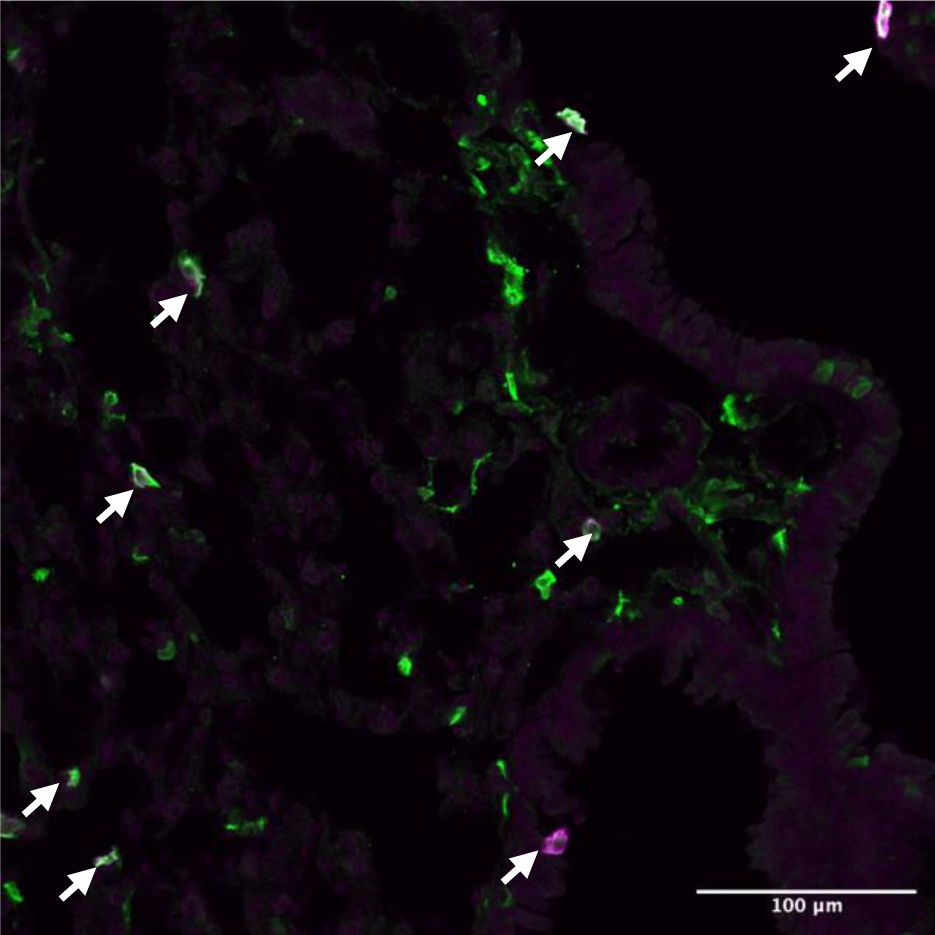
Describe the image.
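Lung tissue with thin alveolar walls forming a lacy network around dark airspaces, and at the right a folded continuous epithelial lining of a larger airway that glows faint magenta. Numerous irregular, elongated or stellate green cells lie along the alveolar walls and within the septa, some in small clusters. A few rounded cells at the edges of airspaces carry bright magenta or mixed magenta and green labelling appearing whitish; these are marked by white arrows and are scattered singly across the field, including one at the upper right corner. Most green cells show no magenta.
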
